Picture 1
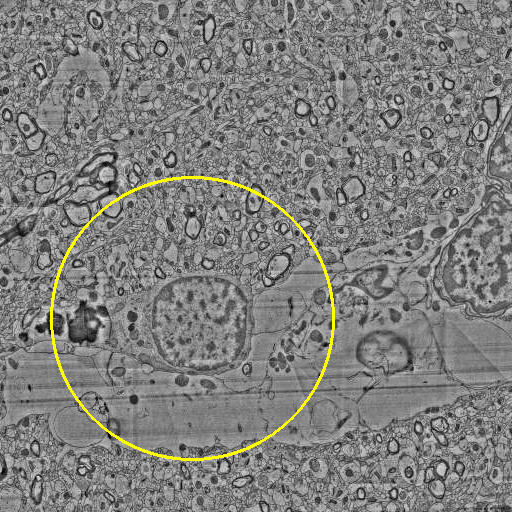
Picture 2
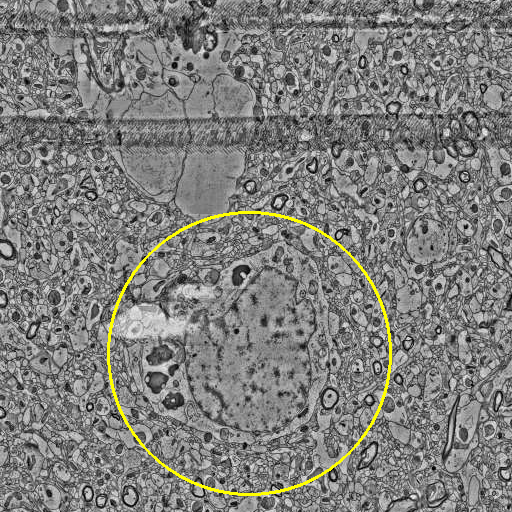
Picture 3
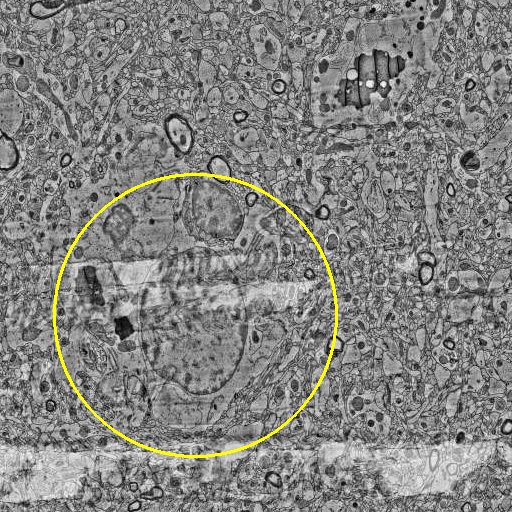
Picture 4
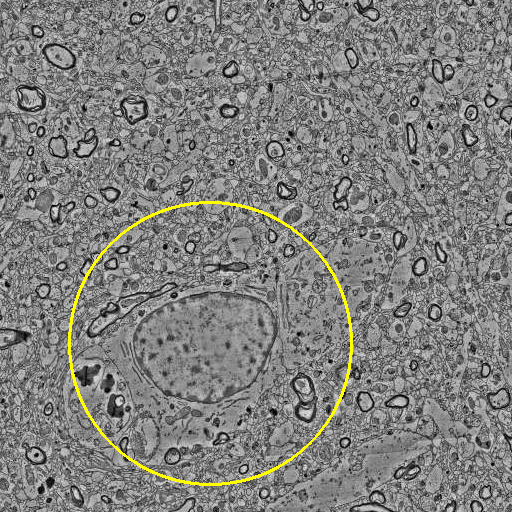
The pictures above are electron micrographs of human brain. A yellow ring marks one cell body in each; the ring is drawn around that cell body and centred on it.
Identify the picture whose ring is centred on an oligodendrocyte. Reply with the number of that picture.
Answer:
1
